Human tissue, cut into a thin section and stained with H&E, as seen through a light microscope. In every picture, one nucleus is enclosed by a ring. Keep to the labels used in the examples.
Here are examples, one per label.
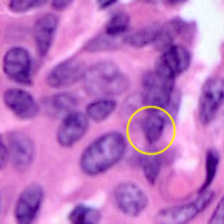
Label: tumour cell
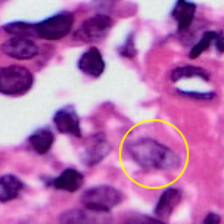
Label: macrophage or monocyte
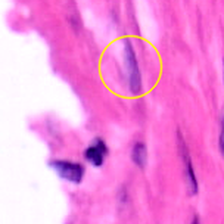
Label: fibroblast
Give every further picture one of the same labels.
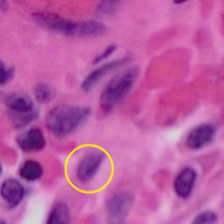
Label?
fibroblast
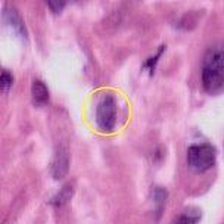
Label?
fibroblast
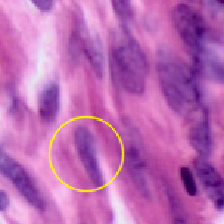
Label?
fibroblast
